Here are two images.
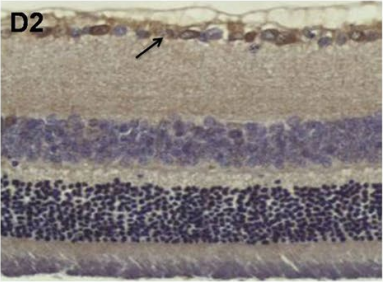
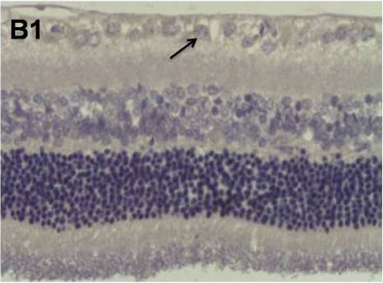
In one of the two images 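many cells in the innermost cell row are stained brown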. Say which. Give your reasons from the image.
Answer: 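First image: most cells along the inner edge carry brown cytoplasm. Second image: the cells along the inner edge are pale, with little brown colour.
Answer: the first image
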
